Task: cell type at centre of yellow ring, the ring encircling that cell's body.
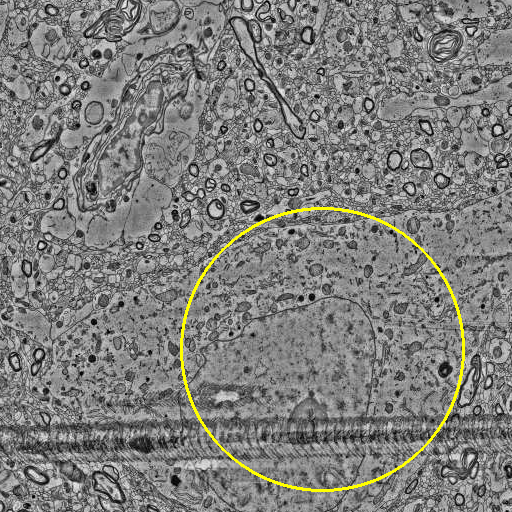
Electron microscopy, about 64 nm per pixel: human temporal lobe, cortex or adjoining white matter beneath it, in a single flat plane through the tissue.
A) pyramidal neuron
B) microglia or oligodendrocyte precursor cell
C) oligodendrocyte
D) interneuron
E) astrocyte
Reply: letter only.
A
